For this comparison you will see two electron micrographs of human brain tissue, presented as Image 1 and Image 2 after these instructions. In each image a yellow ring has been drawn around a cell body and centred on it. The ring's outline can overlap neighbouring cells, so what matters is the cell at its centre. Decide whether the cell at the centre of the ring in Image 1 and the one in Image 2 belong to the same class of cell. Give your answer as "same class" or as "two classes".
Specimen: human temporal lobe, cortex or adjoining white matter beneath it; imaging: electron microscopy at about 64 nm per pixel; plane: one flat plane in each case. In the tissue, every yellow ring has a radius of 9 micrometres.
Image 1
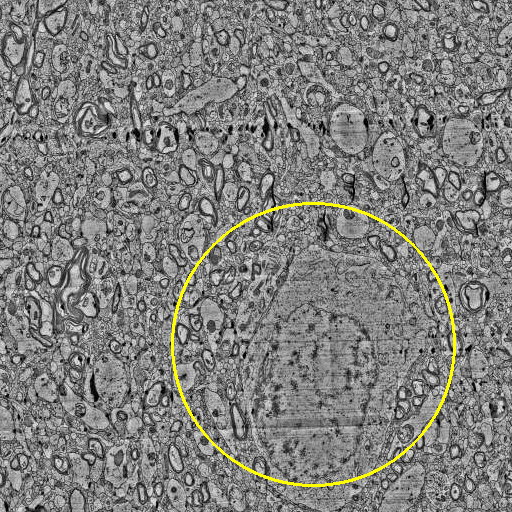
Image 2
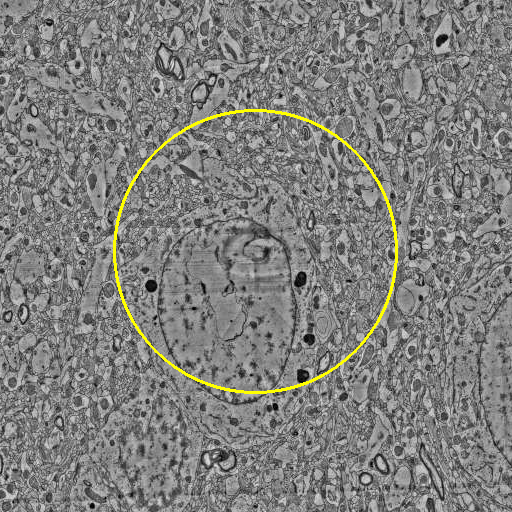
two classes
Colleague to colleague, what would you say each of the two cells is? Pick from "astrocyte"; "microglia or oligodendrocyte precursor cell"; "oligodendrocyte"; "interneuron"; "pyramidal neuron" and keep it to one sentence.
The cell in the first picture is an interneuron; the second picture's cell is a pyramidal neuron.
